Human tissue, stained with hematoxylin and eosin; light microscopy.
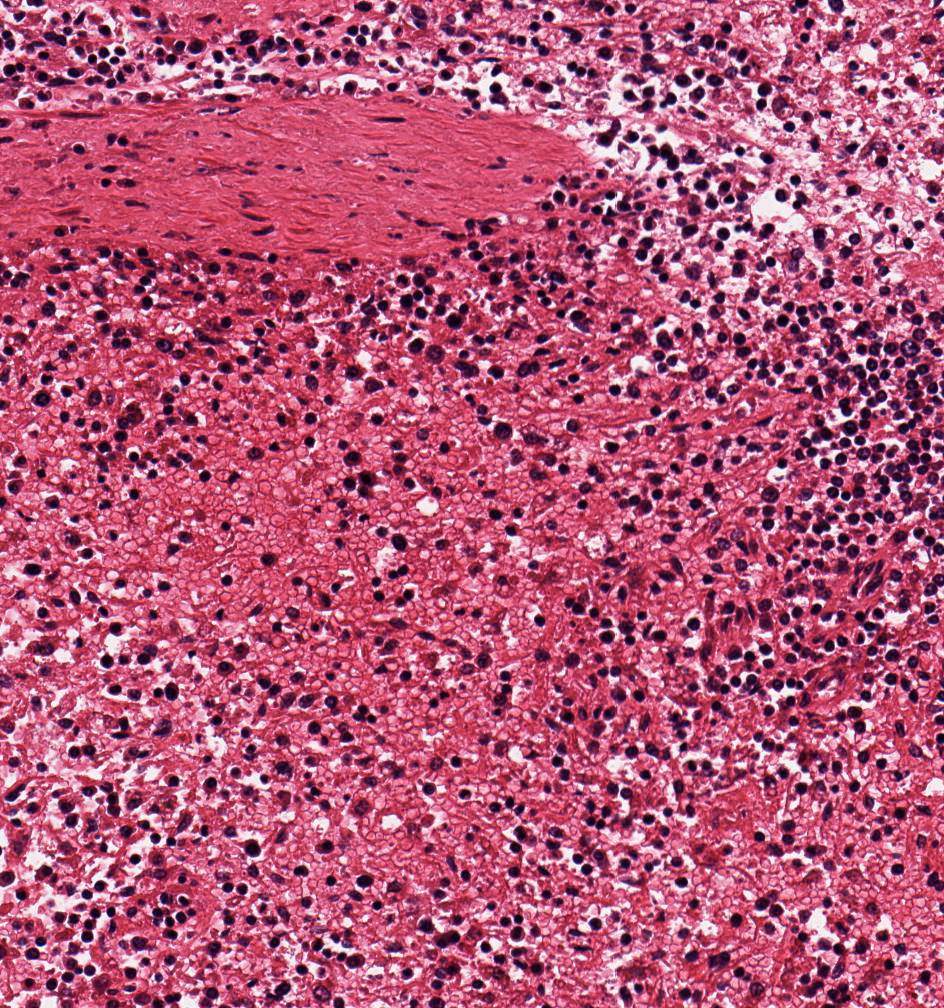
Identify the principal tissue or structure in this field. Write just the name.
red pulp of the spleen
